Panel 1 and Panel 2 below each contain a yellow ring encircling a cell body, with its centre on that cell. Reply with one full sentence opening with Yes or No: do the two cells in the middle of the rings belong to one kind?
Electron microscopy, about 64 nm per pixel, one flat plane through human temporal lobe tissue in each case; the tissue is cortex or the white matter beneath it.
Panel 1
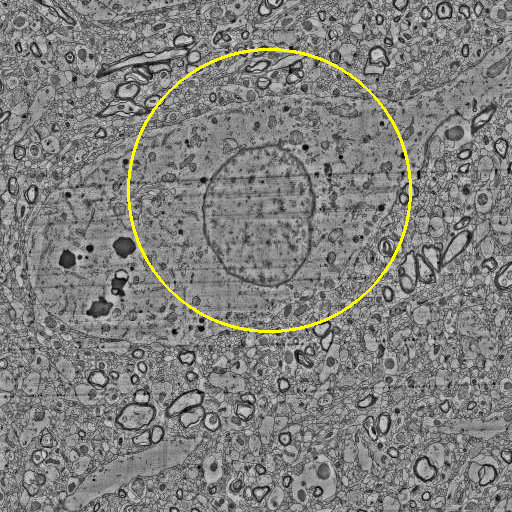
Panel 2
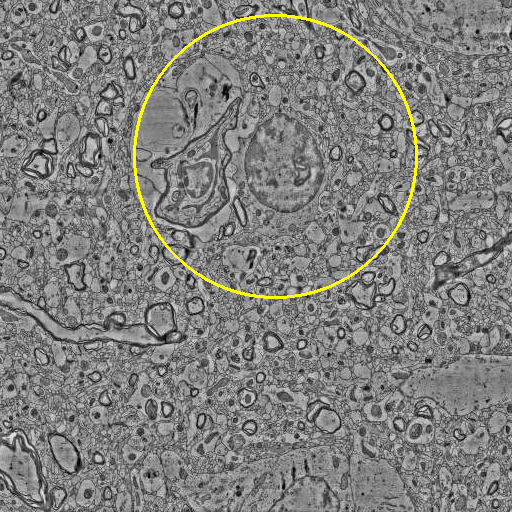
No, the cells at the middle of the Panel 1 ring and the Panel 2 ring are of two kinds.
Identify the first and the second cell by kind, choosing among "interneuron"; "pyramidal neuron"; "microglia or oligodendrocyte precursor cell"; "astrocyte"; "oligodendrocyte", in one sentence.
The one in the first picture is a pyramidal neuron, while the one in the second is an oligodendrocyte.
